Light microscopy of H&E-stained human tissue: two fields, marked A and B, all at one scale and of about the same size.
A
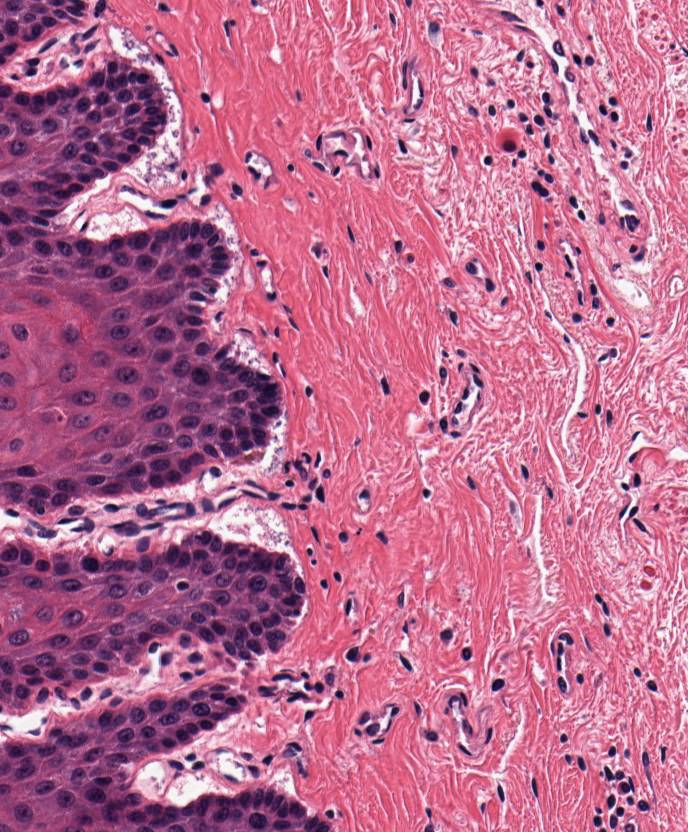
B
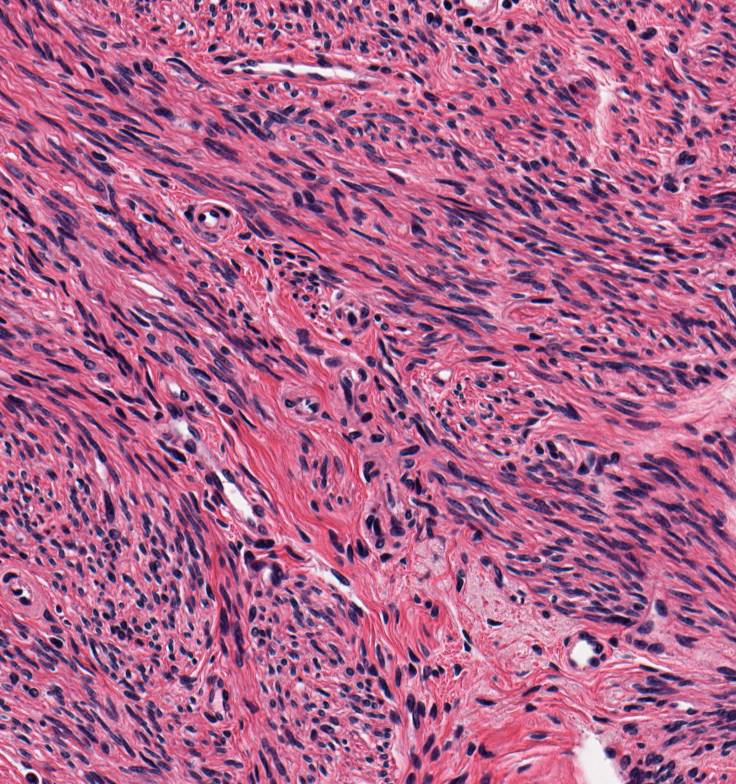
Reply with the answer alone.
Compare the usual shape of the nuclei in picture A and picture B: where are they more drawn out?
B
